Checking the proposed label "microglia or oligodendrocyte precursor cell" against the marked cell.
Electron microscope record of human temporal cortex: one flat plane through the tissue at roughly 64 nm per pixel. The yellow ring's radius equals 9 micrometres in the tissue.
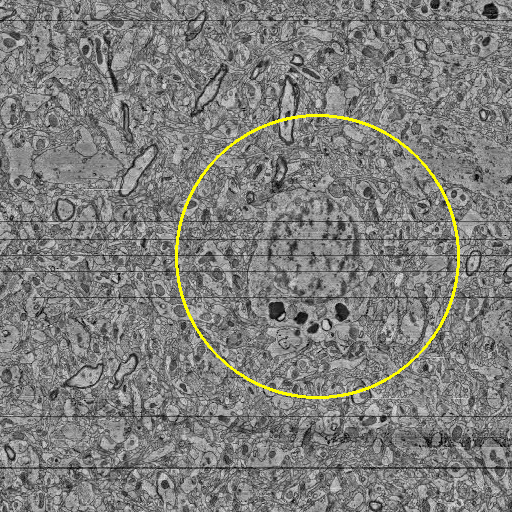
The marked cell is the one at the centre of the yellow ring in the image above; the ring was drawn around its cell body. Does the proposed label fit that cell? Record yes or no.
no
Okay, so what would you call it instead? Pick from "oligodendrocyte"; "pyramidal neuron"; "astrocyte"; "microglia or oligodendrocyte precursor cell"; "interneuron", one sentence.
The correct answer is that the cell is an interneuron.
